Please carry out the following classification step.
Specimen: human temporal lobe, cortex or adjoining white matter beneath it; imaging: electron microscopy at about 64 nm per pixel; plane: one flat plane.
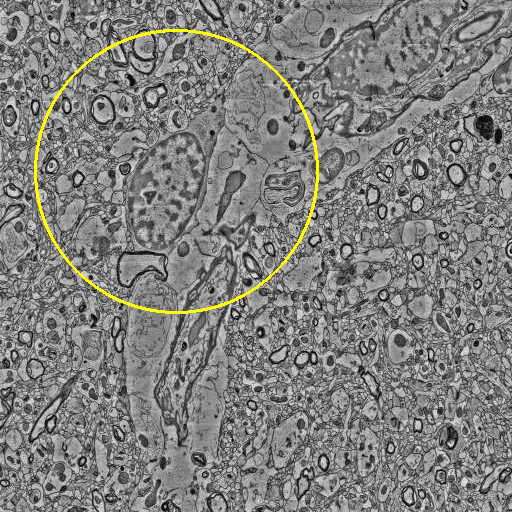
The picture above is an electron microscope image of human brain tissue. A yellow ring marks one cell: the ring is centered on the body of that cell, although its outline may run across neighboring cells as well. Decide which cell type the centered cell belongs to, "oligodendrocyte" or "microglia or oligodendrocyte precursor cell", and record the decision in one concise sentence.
The cell centered in the yellow ring is an oligodendrocyte.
